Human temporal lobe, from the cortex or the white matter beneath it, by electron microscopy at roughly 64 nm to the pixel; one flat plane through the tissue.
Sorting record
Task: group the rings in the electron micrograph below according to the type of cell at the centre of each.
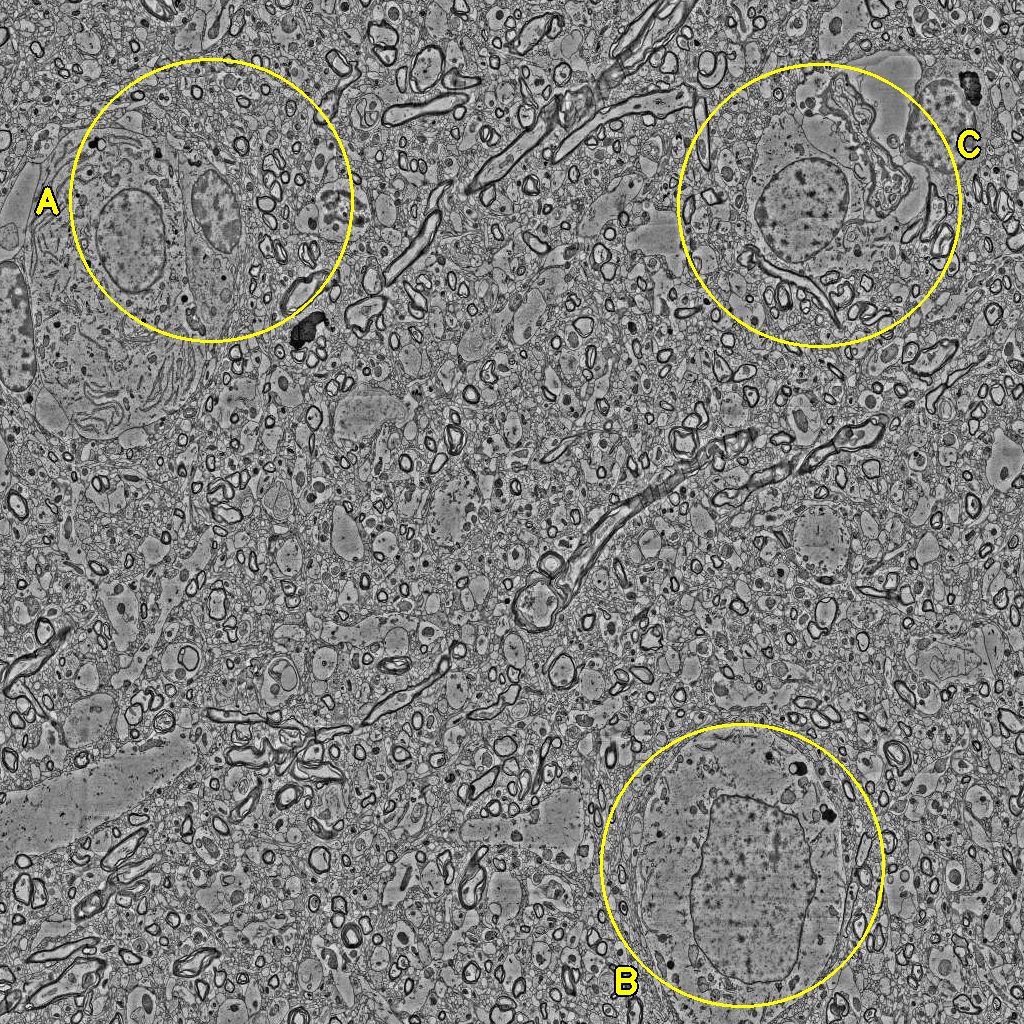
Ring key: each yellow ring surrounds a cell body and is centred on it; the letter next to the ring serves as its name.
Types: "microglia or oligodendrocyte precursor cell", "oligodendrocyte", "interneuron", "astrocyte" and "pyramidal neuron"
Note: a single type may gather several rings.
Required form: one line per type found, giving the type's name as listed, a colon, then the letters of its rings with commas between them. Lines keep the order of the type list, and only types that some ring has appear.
microglia or oligodendrocyte precursor cell: C
oligodendrocyte: A
pyramidal neuron: B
